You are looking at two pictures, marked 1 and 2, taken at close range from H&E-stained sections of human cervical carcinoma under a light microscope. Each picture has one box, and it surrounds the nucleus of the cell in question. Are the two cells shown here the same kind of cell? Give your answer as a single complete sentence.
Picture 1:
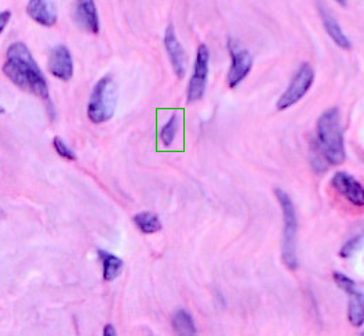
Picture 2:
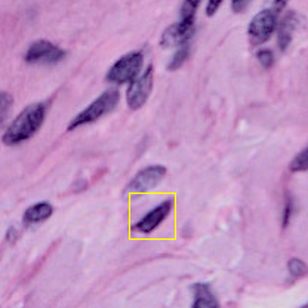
Yes, they are the same type: both are fibroblasts.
